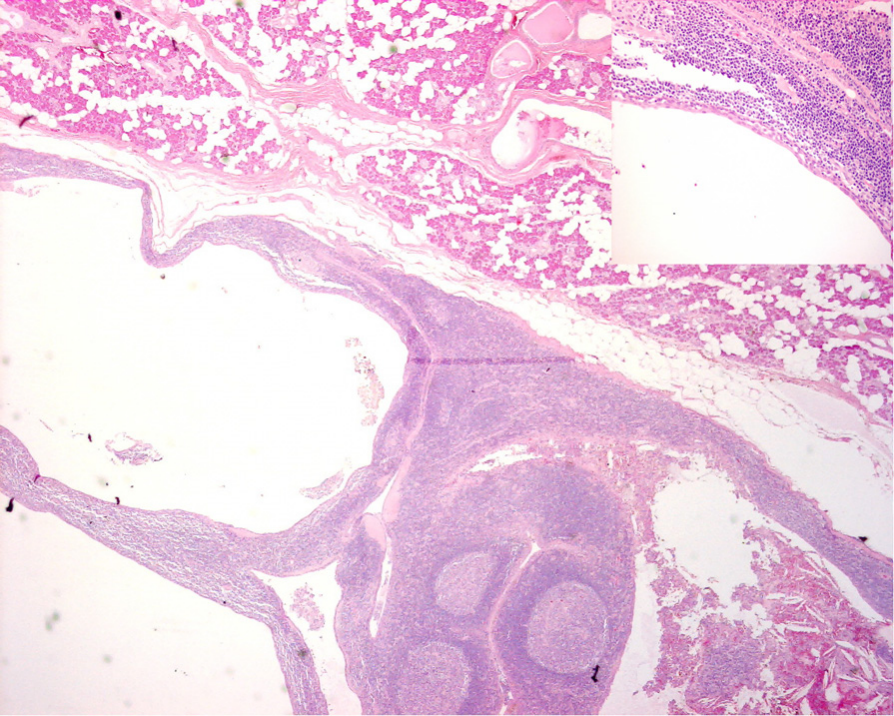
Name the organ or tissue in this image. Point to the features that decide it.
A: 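Parotid gland. The upper part of the field is glandular tissue of small clustered acini with pink granular cytoplasm. Fat cells and small ducts lie among the acini.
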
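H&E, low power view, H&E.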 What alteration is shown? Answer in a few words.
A: Cholesterol clefts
